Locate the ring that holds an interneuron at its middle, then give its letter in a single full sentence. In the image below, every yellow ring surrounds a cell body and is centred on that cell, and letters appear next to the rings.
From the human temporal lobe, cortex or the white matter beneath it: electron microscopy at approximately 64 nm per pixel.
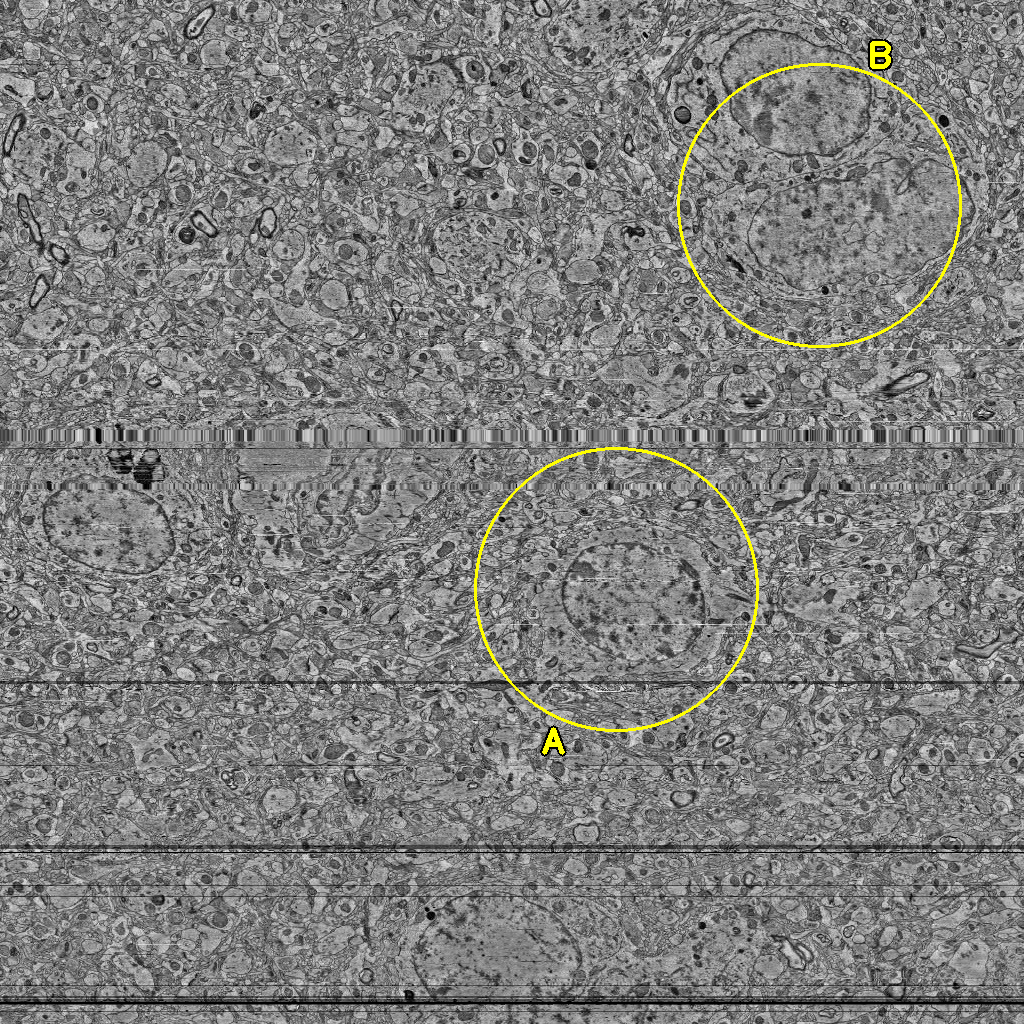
Ring B is the one centred on that kind of cell in the image.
